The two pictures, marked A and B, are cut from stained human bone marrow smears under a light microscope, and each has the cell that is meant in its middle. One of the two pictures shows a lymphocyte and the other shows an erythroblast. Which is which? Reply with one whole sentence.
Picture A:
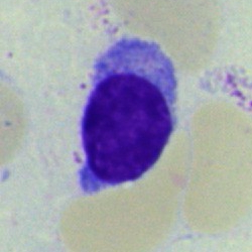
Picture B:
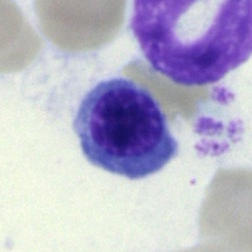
Picture A shows a lymphocyte and picture B shows an erythroblast.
